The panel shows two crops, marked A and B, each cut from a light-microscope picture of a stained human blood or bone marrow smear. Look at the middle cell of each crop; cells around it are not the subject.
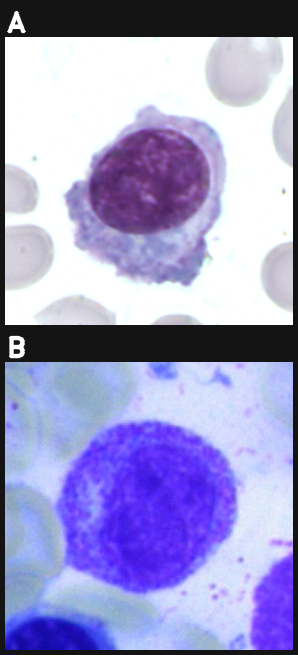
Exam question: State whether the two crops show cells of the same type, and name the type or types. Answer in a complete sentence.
No, crop A corresponds to a plasma cell, while crop B corresponds to a myelocyte.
